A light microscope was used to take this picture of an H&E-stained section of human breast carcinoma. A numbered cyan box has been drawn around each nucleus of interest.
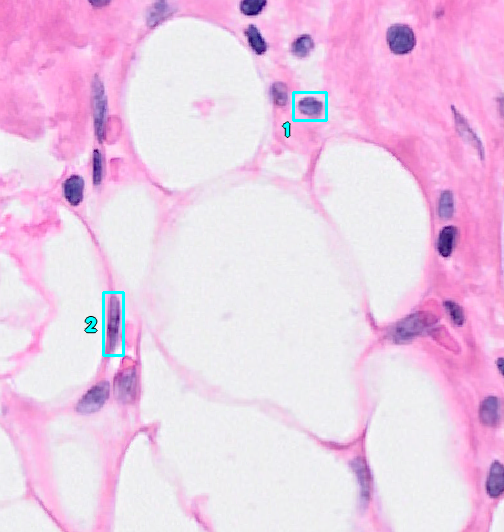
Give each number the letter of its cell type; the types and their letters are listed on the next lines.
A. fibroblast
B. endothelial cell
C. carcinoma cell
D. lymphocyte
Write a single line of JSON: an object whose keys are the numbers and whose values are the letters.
{"1": "D", "2": "B"}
